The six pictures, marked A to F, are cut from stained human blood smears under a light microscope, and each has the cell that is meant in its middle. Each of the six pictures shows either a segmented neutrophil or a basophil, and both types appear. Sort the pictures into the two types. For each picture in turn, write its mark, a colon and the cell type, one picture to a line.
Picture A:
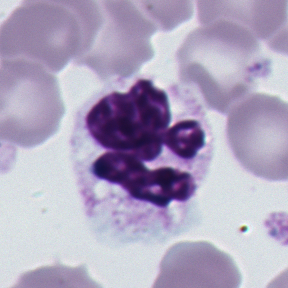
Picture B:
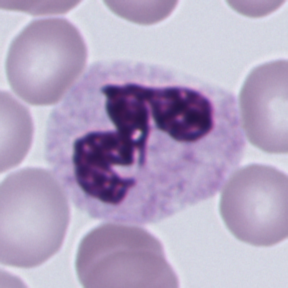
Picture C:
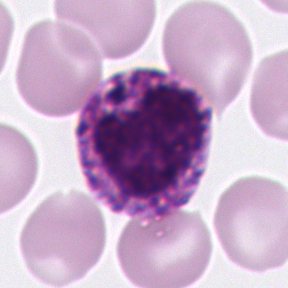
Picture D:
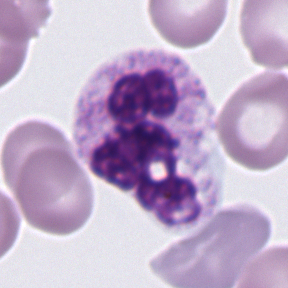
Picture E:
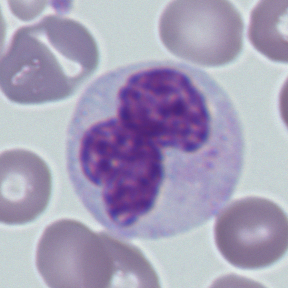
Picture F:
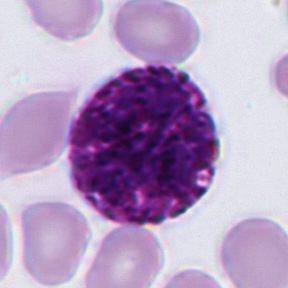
A: segmented neutrophil
B: segmented neutrophil
C: basophil
D: segmented neutrophil
E: segmented neutrophil
F: basophil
